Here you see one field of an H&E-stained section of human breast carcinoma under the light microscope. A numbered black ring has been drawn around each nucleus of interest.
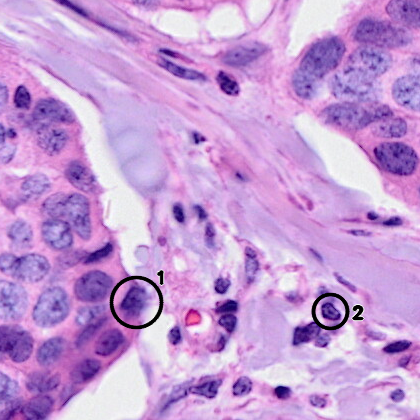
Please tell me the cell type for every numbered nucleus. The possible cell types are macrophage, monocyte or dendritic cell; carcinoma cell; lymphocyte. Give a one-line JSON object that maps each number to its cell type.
{"1": "carcinoma cell", "2": "lymphocyte"}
